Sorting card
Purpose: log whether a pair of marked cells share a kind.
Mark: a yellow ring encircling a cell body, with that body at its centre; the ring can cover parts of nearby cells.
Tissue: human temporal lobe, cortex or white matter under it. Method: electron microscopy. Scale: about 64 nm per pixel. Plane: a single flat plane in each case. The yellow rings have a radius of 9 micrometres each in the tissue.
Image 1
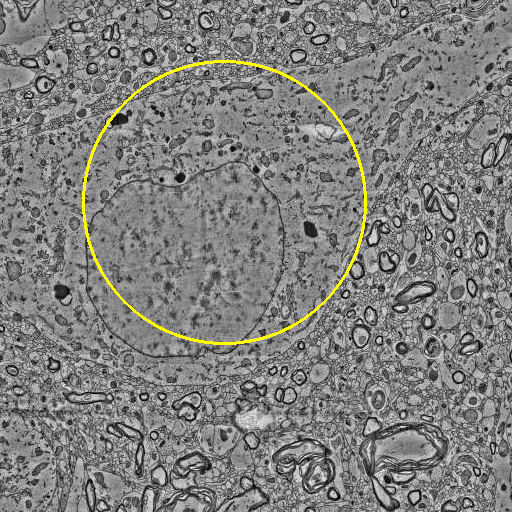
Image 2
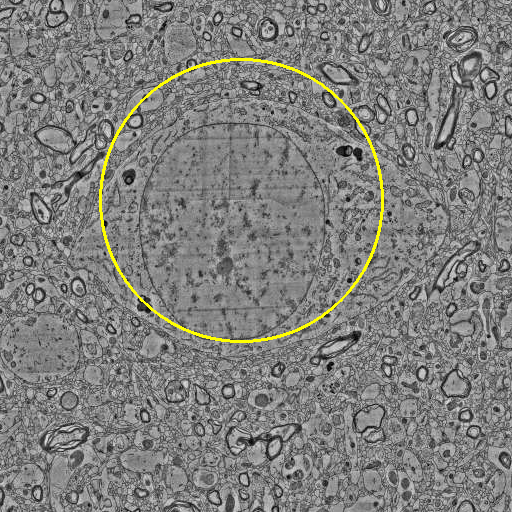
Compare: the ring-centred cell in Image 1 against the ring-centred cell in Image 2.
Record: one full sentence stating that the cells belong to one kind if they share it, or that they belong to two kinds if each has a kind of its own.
Across Images 1 and 2, the two ring-centred cells belong to one kind.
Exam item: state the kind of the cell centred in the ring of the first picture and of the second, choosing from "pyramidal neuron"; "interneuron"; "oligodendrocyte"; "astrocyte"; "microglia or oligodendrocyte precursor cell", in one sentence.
The first and the second cell are each a pyramidal neuron.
